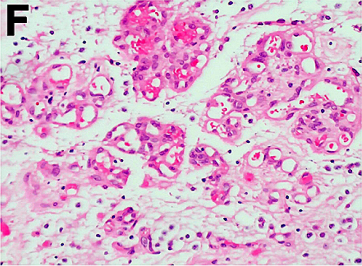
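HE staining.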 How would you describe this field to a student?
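Tufted, glomerulus-like clusters of small blood vessels lined by plump pink cells with oval nuclei sit in a pale, loose stroma. Narrow lumens within the clusters hold red blood cells, and a few small dark nuclei lie scattered in the surrounding matrix.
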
